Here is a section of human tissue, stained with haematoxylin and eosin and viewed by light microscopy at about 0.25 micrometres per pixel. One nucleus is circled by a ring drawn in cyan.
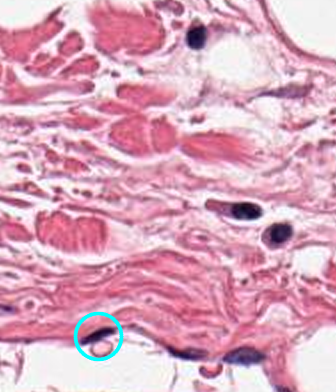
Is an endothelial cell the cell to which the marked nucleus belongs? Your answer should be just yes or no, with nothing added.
yes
